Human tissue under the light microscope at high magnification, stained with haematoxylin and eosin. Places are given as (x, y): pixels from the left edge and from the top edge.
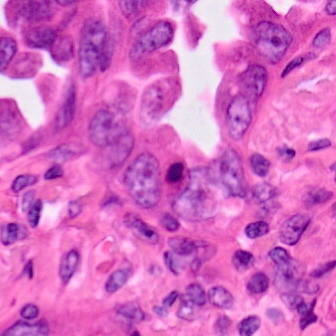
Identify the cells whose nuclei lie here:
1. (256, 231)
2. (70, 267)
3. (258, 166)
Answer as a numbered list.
1. lymphocyte
2. fibroblast
3. lymphocyte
